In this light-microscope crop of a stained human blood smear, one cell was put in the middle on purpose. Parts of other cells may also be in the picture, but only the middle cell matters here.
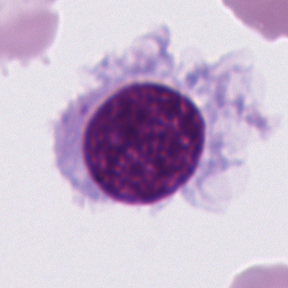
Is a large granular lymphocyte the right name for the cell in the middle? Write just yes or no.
no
